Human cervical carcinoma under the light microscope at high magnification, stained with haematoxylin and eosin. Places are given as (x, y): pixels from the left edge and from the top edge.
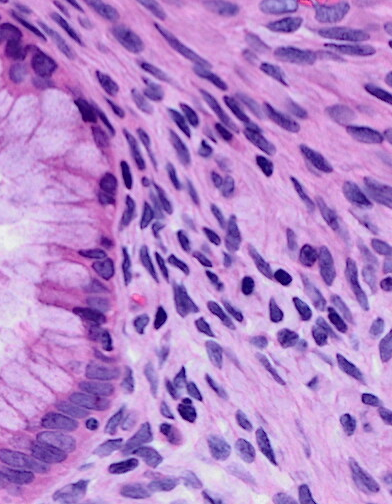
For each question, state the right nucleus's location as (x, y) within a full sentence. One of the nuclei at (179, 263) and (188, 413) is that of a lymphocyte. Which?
In this pair, the nucleus at (188, 413) belongs to a lymphocyte.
